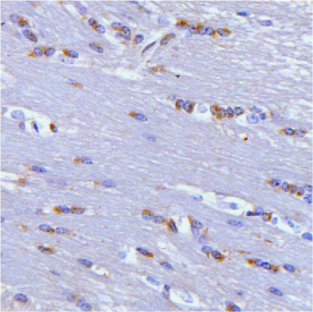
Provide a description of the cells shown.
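A fibre tract with many small oligodendrocytes whose round to oval blue nuclei are rimmed by brown-stained cytoplasm. The cells lie in short rows aligned with the pale, parallel fibres, with some unstained elongated nuclei in between.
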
